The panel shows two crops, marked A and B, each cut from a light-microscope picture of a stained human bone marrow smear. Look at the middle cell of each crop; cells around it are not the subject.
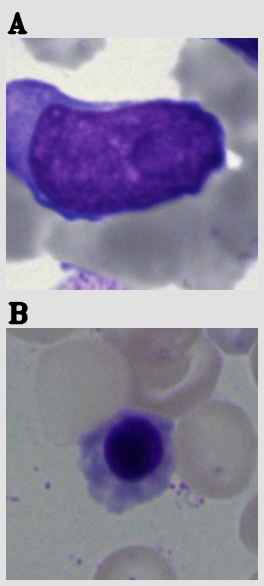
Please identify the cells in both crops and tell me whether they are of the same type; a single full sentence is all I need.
No, crop A is home to a blast, and crop B to an erythroblast.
